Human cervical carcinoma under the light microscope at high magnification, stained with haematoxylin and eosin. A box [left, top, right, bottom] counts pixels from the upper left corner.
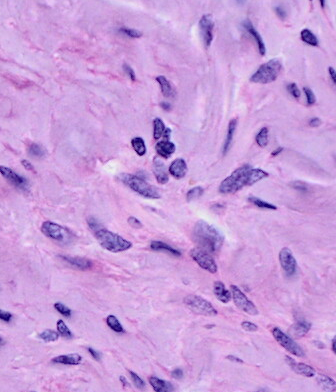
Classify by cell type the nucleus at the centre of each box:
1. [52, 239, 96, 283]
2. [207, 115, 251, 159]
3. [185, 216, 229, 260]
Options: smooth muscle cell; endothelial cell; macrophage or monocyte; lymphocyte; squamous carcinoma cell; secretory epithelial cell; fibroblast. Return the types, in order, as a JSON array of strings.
["smooth muscle cell", "fibroblast", "endothelial cell"]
